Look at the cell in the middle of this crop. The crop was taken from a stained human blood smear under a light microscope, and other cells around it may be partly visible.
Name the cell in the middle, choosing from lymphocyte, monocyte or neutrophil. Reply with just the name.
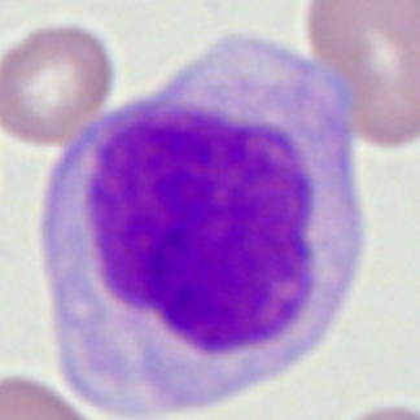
monocyte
